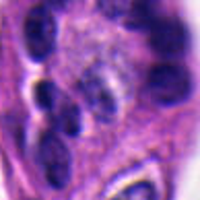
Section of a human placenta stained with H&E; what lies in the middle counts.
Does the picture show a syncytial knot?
No, it shows a cytotrophoblast.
